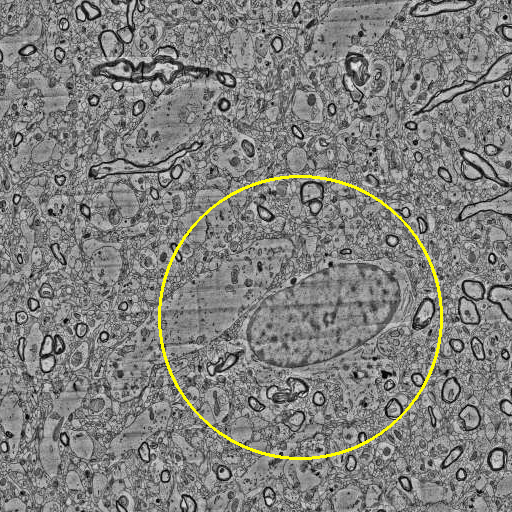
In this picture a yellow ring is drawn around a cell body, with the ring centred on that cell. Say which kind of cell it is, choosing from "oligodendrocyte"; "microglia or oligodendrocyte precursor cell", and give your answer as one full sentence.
Here it is a microglial cell or oligodendrocyte precursor cell that sits at the centre of the drawn yellow ring.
